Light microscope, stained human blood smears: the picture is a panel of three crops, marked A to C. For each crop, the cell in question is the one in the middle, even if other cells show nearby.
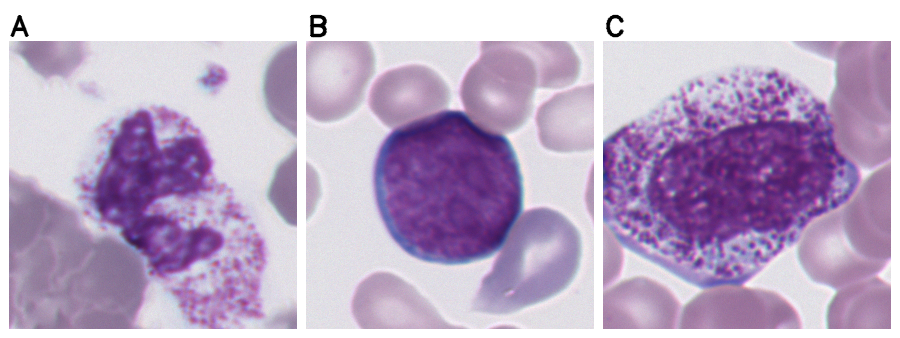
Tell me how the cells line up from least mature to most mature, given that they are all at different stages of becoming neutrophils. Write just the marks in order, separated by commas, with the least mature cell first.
B, C, A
